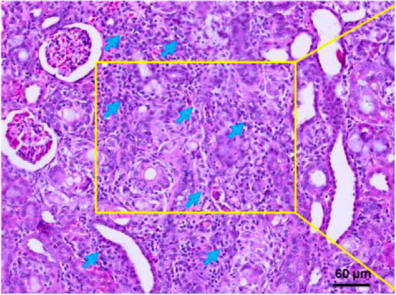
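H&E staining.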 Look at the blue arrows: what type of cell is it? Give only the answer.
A: Inflammatory cells.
